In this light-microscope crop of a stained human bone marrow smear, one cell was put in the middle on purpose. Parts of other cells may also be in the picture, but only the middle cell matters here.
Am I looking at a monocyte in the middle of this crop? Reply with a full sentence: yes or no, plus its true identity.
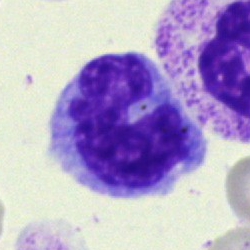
Yes, the centered cell in this field is a monocyte.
